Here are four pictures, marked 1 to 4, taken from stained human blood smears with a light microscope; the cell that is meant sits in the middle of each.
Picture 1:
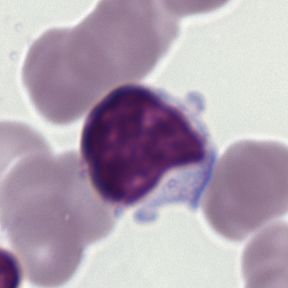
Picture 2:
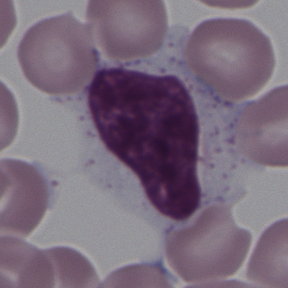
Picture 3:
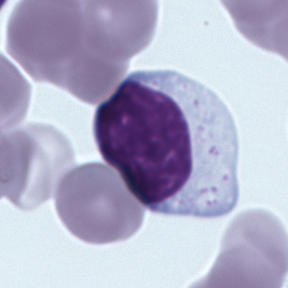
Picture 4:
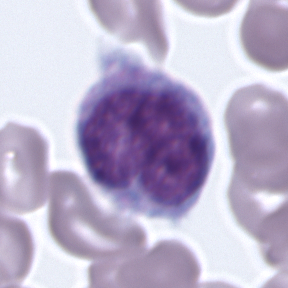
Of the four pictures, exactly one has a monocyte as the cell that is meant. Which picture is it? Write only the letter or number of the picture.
4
